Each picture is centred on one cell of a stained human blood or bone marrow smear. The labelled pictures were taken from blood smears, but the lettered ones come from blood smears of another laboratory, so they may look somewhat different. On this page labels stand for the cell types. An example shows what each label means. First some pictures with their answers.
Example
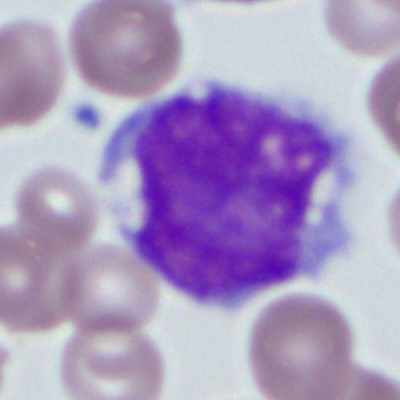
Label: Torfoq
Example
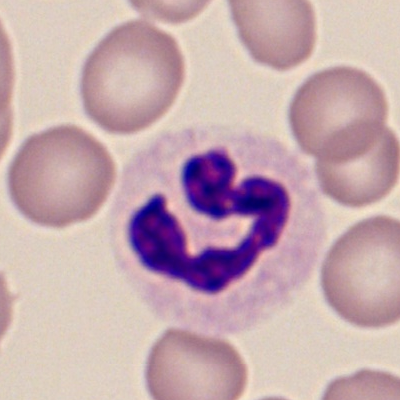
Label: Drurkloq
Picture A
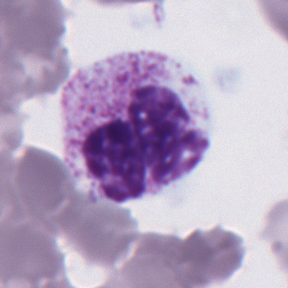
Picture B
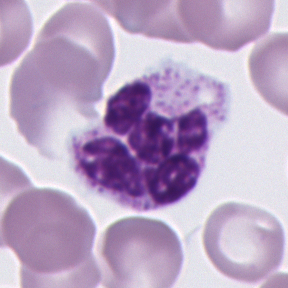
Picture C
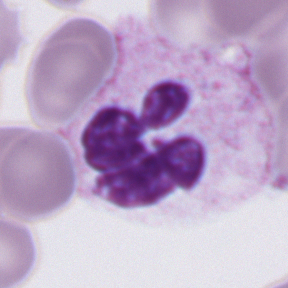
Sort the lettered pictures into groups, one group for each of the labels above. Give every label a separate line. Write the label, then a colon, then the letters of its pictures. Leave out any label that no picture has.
Drurkloq: A, B, C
